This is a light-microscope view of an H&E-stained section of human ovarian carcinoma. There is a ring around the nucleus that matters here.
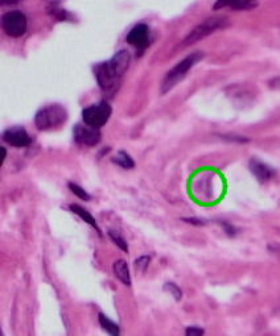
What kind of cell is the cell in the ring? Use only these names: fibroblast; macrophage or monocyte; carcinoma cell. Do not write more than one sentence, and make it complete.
Recorded by type, the cell in the ring is a fibroblast.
